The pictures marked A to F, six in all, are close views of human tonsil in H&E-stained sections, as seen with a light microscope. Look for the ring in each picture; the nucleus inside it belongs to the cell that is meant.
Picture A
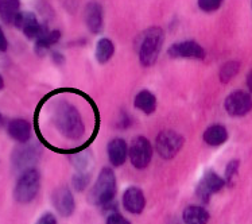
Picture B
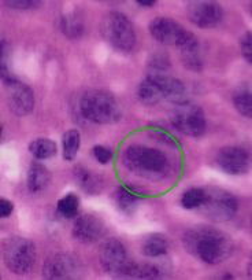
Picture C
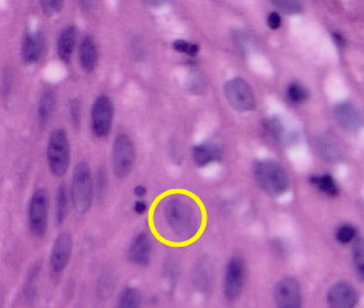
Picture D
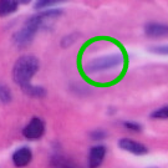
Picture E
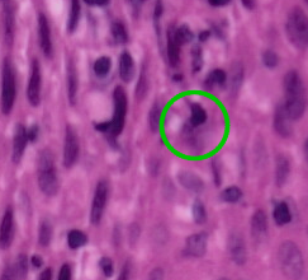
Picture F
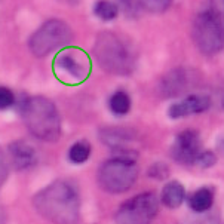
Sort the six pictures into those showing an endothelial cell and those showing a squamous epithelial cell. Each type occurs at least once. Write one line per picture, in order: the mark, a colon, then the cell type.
A: endothelial cell
B: squamous epithelial cell
C: squamous epithelial cell
D: endothelial cell
E: squamous epithelial cell
F: squamous epithelial cell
